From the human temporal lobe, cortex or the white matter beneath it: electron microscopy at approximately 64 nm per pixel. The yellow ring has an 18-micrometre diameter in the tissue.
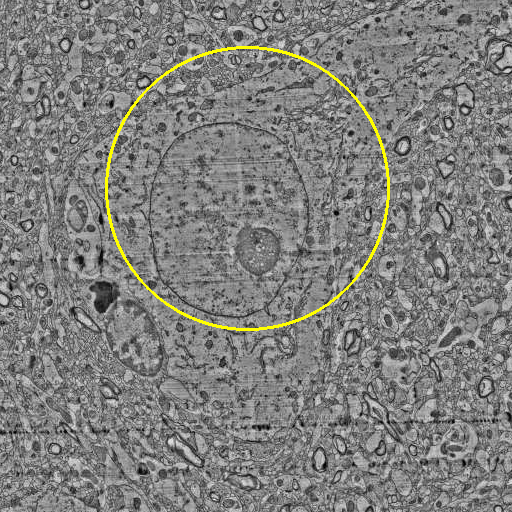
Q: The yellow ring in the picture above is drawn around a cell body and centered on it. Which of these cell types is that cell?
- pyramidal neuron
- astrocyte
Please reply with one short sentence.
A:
The cell body at the ring's center belongs to a pyramidal neuron.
